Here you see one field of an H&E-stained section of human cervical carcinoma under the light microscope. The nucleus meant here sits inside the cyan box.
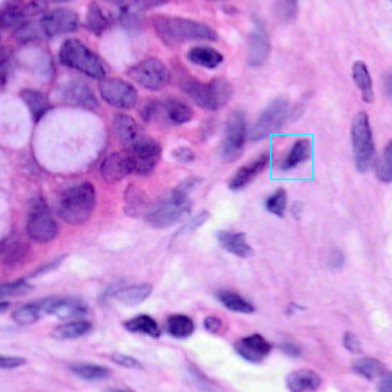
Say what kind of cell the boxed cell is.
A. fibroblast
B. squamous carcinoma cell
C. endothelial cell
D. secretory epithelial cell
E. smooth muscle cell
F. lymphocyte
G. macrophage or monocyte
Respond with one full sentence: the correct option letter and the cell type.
Here the boxed cell is a fibroblast, which makes option A correct.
